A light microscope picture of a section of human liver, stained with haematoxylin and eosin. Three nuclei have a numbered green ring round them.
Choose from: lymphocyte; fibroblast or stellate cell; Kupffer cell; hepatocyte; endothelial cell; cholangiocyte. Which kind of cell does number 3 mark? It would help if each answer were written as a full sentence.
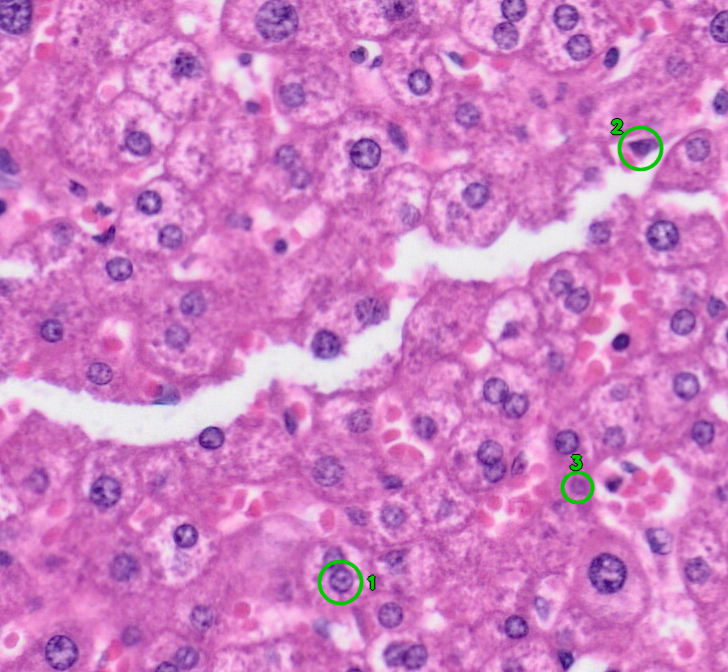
Cell 3 in the field of view is a hepatocyte.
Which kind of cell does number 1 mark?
Heads up, the cell numbered 1 is a hepatocyte.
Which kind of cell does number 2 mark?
Among the marked cells, number 2 is a Kupffer cell.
